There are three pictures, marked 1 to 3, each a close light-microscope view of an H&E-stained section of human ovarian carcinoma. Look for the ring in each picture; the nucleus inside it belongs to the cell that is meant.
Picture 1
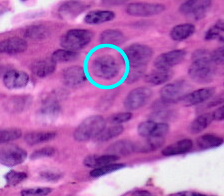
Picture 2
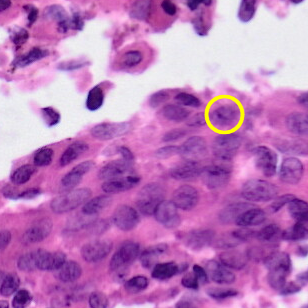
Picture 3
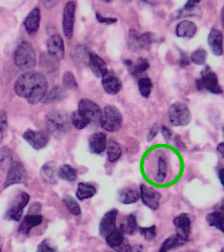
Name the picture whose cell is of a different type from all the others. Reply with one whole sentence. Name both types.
Unlike the rest, which show carcinoma cells, picture 3 shows a “macrophage or monocyte”.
